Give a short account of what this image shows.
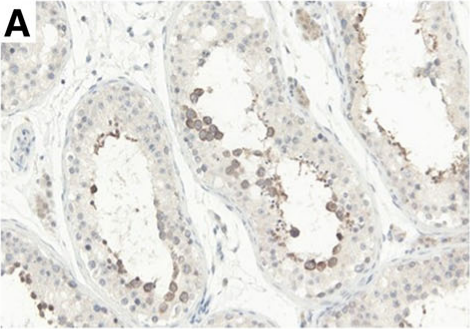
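These are cross-sectioned seminiferous ducts of the testis, each lined by a multilayered epithelium of cells with round blue nuclei around an open central lumen. Thin bands of pale connective tissue with slender nuclei separate the ducts. Within the epithelium, a number of cells toward the lumen stand out with darker brown cytoplasm. Brown granular material lines the luminal edge of several ducts. The rest of the epithelium is only faintly tinted brown.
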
